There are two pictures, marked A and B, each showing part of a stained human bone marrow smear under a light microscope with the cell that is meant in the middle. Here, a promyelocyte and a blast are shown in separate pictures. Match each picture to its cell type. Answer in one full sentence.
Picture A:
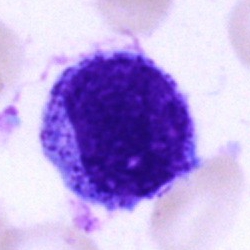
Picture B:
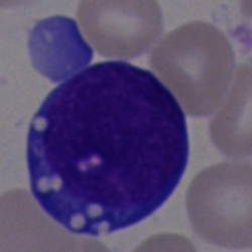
Picture A is of a promyelocyte, and picture B is of a blast.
